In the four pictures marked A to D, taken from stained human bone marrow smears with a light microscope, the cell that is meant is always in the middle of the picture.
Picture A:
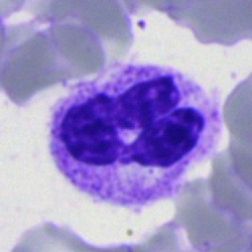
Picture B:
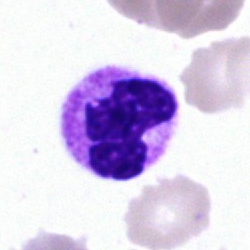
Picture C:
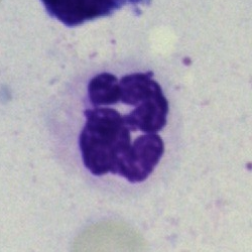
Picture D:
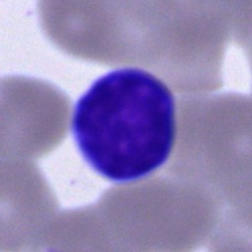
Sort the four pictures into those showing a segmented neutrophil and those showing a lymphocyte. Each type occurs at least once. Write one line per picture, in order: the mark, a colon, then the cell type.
A: segmented neutrophil
B: segmented neutrophil
C: segmented neutrophil
D: lymphocyte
